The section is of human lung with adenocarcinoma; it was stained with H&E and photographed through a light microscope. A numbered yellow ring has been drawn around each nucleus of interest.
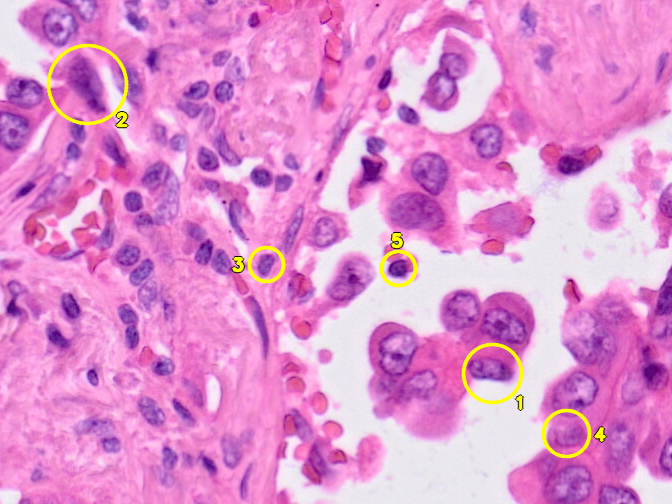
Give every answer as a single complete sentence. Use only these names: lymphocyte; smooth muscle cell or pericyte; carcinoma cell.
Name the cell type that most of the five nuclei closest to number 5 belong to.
Carcinoma cells account for more than half of the five nuclei nearest to number 5.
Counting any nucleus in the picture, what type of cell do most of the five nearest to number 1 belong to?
Of the five nuclei nearest to number 1, most belong to carcinoma cells.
